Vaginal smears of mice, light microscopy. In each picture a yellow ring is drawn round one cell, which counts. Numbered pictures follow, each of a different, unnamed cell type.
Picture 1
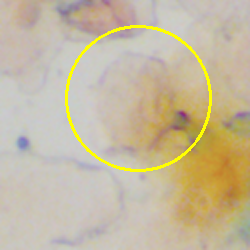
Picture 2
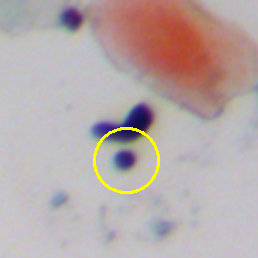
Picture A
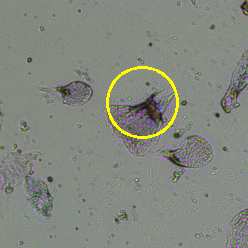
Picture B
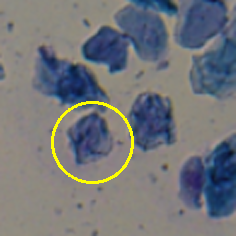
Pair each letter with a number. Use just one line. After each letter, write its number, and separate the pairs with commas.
A 1, B 1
